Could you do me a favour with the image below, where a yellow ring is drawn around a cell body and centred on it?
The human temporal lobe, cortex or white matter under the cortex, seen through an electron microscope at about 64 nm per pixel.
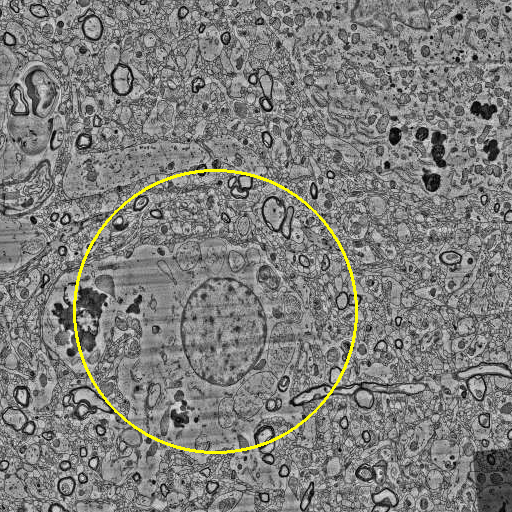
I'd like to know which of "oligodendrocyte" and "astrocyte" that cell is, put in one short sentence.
The cell at the ring's centre is an astrocyte.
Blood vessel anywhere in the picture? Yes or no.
No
